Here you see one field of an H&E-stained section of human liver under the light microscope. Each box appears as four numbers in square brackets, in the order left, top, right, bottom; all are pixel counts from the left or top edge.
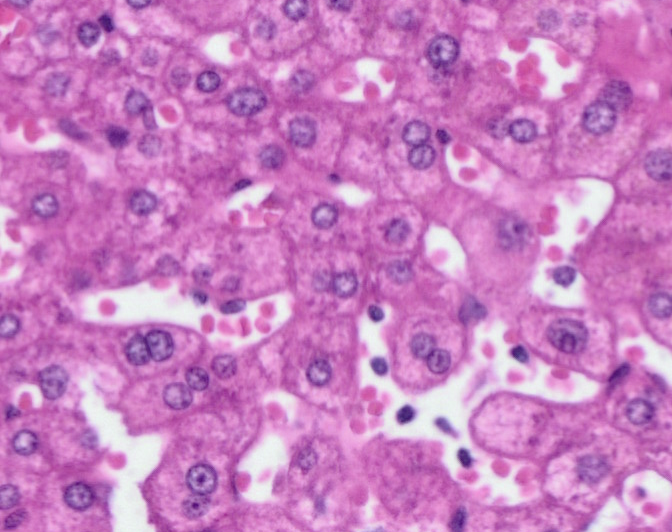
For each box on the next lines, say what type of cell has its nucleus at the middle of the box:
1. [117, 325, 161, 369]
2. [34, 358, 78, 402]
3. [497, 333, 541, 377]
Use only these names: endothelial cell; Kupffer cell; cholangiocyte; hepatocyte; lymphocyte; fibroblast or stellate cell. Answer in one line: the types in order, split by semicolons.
hepatocyte; hepatocyte; lymphocyte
